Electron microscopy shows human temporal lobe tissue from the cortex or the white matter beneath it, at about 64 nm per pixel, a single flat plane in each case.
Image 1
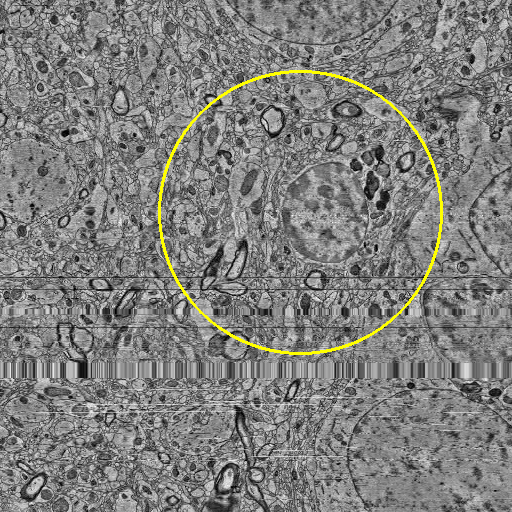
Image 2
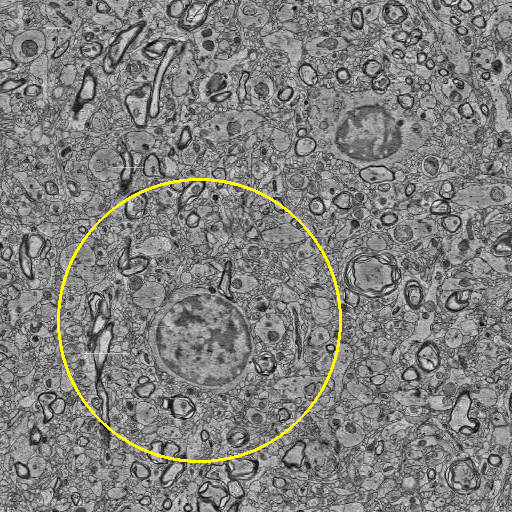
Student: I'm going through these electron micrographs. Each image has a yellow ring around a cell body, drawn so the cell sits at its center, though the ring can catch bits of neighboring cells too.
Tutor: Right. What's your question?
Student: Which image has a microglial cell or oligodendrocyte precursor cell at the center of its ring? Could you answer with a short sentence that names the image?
Image 1 shows it at the center of its ring.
